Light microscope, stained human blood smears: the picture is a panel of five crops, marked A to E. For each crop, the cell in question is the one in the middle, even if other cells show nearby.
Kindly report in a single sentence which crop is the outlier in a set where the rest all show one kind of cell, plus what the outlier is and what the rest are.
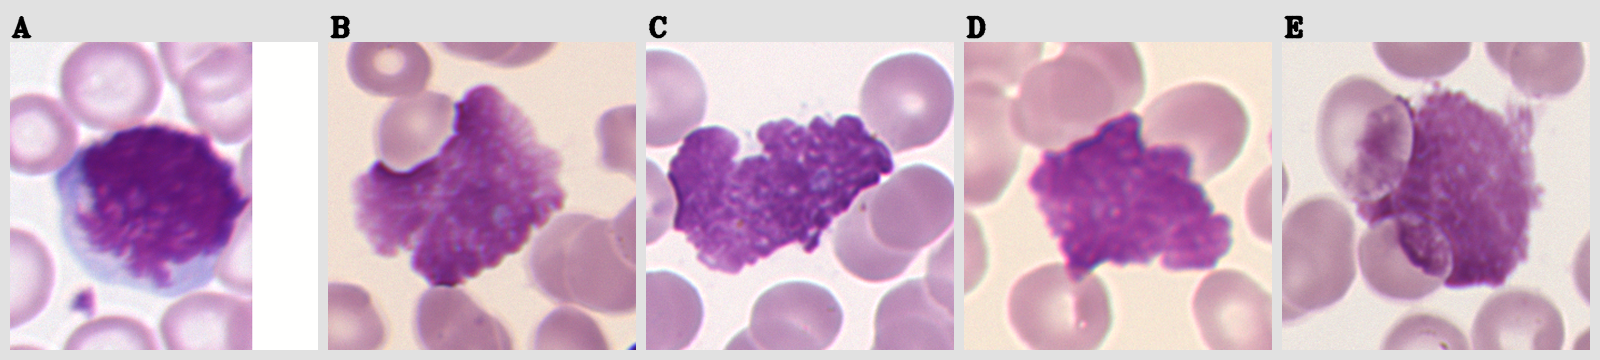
The crop that differs is crop A, showing a typical lymphocyte; the others show smudge cells.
